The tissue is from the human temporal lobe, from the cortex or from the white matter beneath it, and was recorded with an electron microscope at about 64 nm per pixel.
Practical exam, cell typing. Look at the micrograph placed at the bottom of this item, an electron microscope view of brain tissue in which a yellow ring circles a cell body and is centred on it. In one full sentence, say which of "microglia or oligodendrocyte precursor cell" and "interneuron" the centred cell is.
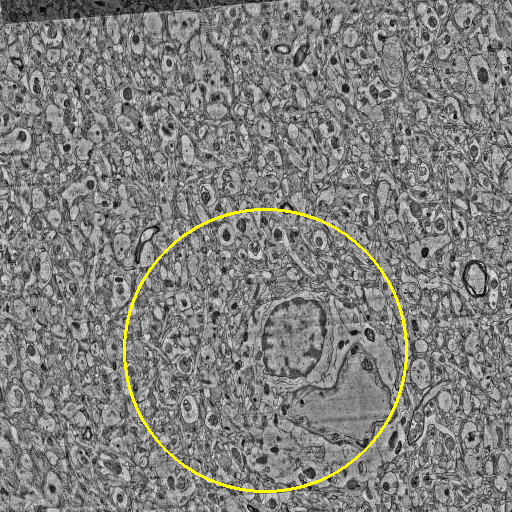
Given the options, a microglial cell or oligodendrocyte precursor cell fits the cell whose body the yellow ring is centred on.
